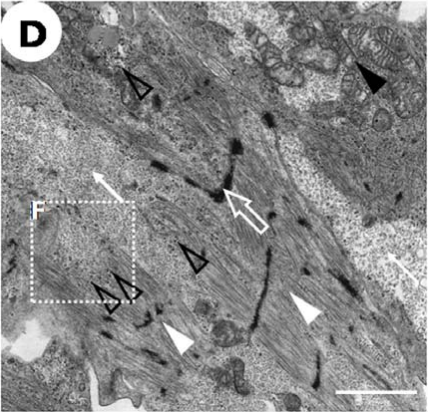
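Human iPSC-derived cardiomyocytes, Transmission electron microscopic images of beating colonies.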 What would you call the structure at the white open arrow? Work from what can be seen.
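Intercalated disk-like structure with desmosome. A dense, irregular dark line crosses the ends of filament bundles. Filament bundles insert into the dense line from both sides.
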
